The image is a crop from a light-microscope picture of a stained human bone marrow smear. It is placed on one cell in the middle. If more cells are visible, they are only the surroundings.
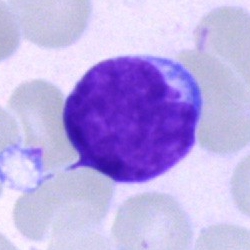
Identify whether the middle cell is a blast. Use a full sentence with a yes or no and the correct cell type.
Yes, the central cell is to be recorded as a blast.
